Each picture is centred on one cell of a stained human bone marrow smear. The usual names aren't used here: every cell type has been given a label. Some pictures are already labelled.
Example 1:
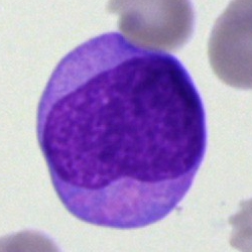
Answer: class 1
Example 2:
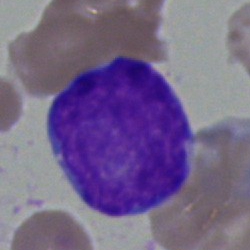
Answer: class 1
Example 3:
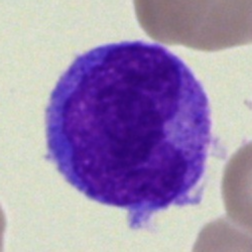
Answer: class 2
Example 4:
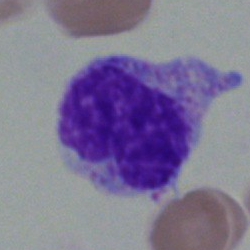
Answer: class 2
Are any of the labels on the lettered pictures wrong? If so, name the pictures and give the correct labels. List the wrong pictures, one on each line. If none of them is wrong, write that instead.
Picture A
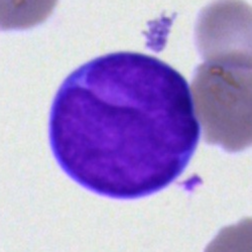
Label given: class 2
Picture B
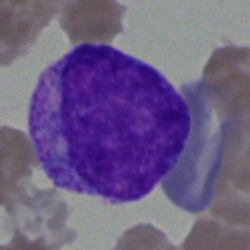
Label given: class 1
A should be class 1, not class 2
